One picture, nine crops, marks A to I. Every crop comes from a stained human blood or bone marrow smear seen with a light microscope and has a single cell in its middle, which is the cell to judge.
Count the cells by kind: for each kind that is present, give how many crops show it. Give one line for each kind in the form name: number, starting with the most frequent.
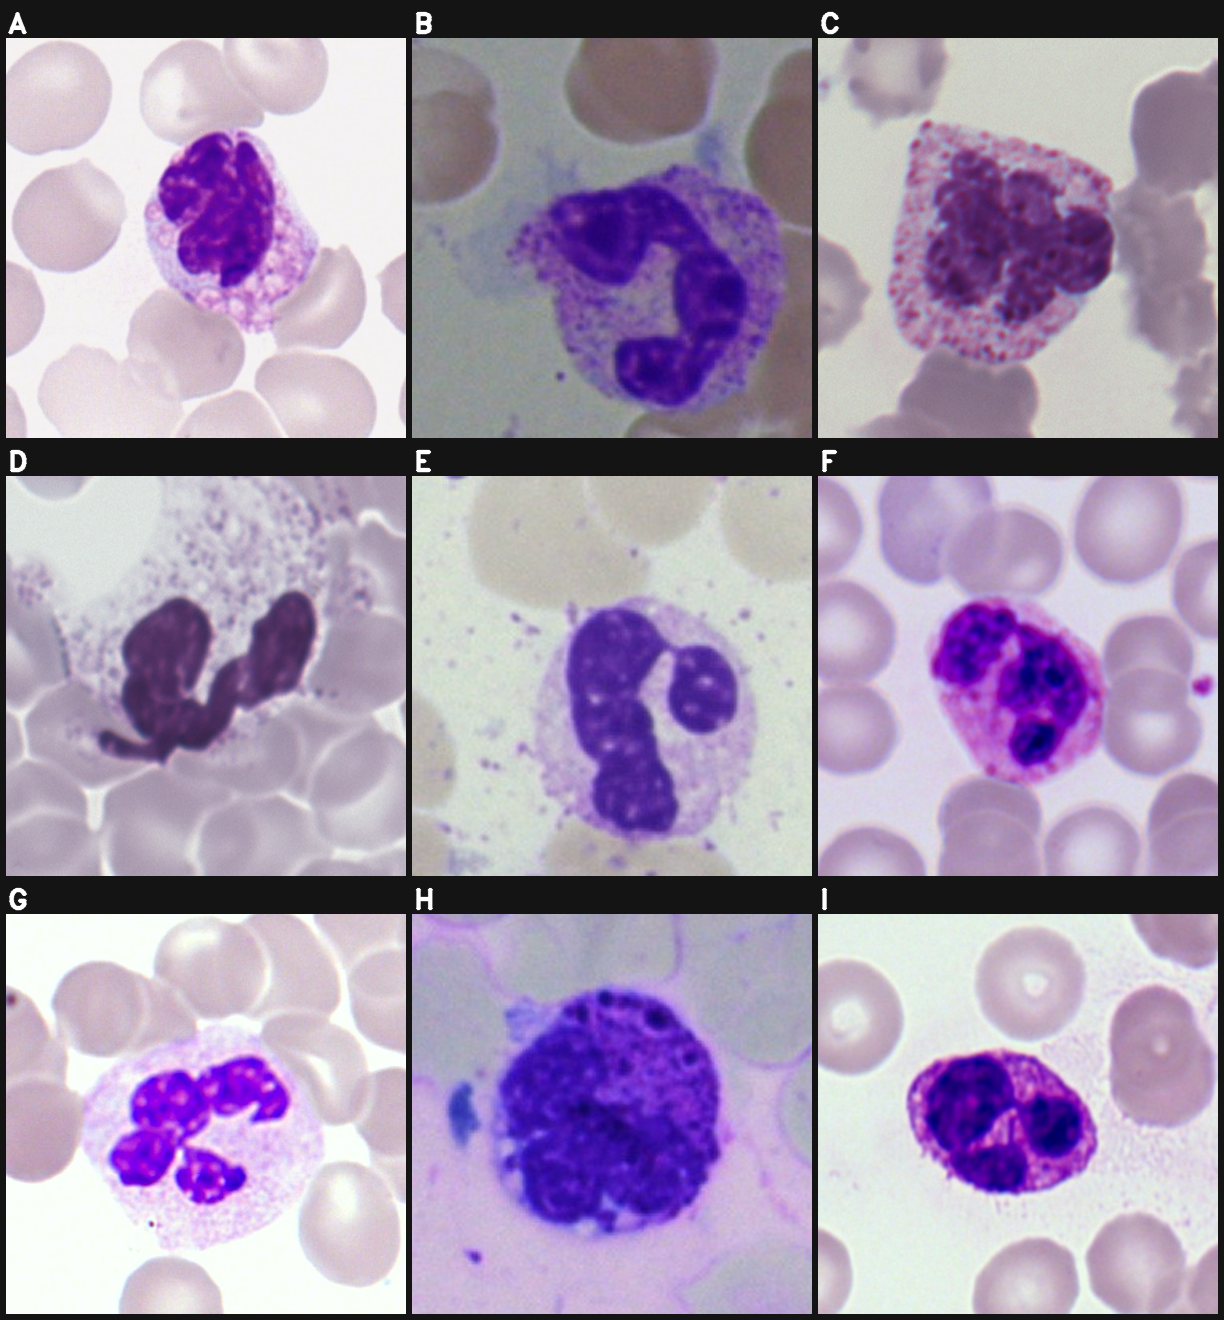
basophil: 5
neutrophil: 4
